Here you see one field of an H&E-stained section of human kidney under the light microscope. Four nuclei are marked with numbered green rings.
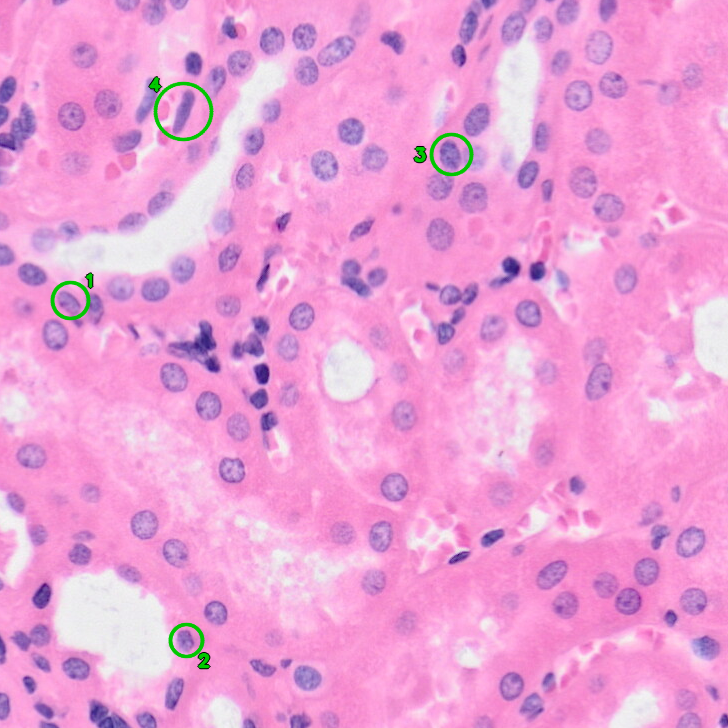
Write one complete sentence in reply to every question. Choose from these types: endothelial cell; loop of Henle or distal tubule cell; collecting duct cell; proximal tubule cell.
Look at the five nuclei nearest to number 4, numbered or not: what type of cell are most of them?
Collecting duct cells make up most of the five nuclei closest to number 4.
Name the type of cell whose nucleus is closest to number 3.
Number 3 lies closest to the nucleus of a collecting duct cell.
